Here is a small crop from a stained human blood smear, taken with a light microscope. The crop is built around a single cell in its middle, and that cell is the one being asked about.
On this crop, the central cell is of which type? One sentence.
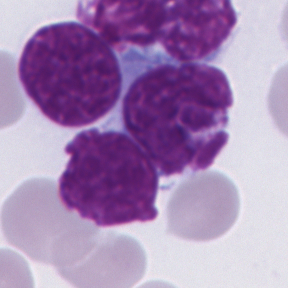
On this slide crop, the central cell is a myeloblast.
